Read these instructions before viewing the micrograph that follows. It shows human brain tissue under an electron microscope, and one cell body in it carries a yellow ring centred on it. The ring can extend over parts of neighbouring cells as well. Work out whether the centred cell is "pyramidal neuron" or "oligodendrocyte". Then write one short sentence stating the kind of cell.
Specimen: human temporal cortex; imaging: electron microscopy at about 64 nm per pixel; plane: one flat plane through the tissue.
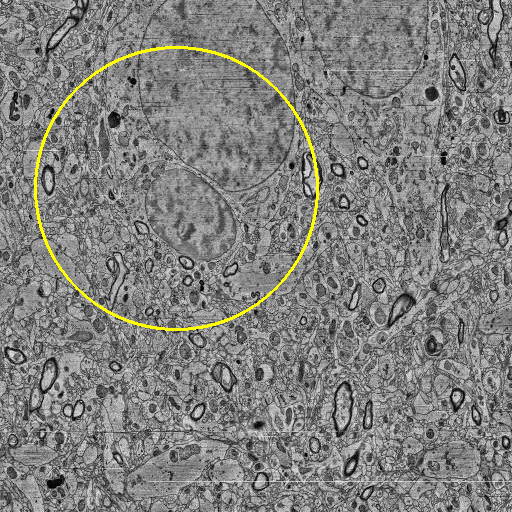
The ringed cell is an oligodendrocyte.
